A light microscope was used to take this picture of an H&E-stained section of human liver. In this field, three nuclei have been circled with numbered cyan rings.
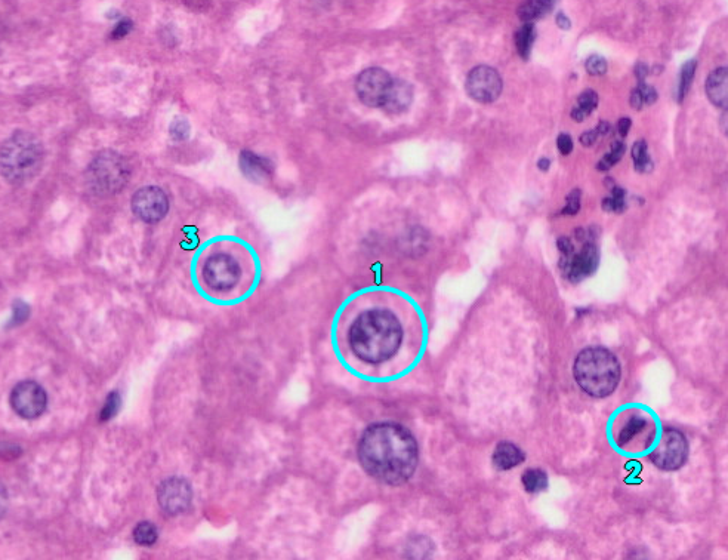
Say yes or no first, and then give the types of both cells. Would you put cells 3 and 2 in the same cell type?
No, cell 3 is a hepatocyte and cell 2 is a fibroblast or stellate cell.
